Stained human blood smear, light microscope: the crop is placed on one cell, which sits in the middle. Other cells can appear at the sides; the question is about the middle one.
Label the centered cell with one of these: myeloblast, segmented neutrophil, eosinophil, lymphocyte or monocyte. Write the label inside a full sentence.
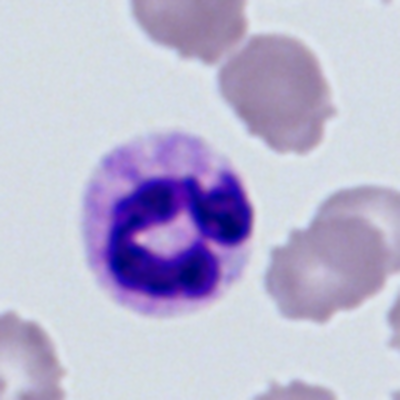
Answering briefly, the cell in the middle is a segmented neutrophil.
